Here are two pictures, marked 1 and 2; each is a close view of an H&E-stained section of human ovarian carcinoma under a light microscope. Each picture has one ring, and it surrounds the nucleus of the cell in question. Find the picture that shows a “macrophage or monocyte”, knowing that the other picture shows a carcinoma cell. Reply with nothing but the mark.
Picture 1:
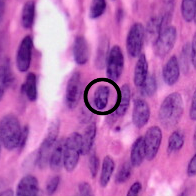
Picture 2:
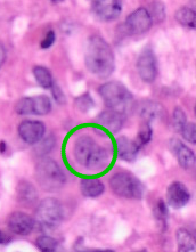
1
